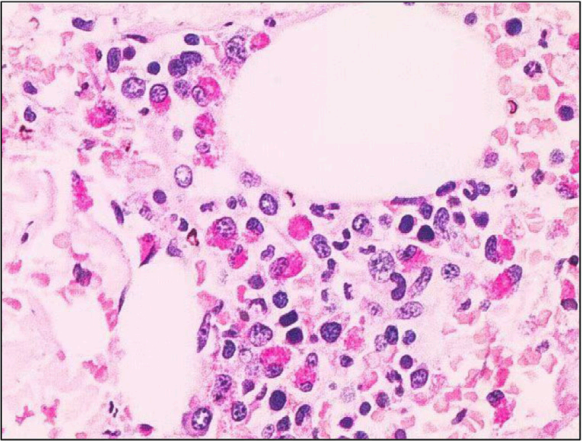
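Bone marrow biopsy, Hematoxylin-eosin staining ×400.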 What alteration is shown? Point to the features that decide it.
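Many cells between the fat spaces have bright pink-red granular cytoplasm. These pink cells are numerous and scattered among the other marrow cells.
Marked eosinophil infiltration.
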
